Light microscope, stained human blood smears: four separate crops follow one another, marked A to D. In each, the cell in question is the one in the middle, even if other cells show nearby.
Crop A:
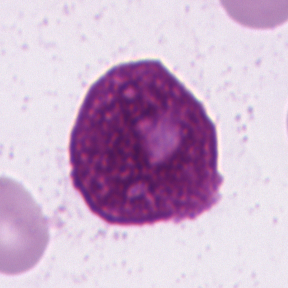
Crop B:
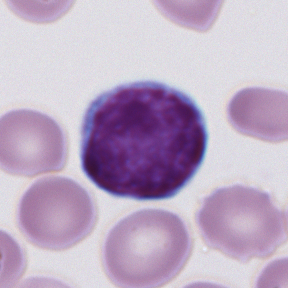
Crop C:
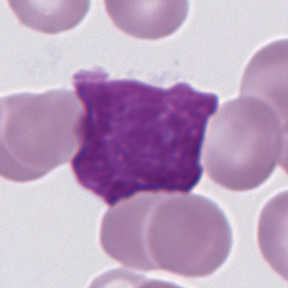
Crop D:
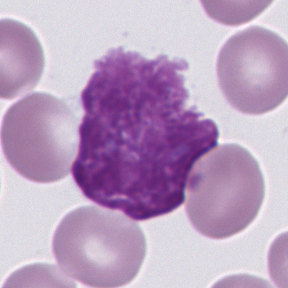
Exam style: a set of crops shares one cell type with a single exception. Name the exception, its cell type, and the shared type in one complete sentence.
With the other crops all showing smudge cells, crop B differs by showing a typical lymphocyte.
